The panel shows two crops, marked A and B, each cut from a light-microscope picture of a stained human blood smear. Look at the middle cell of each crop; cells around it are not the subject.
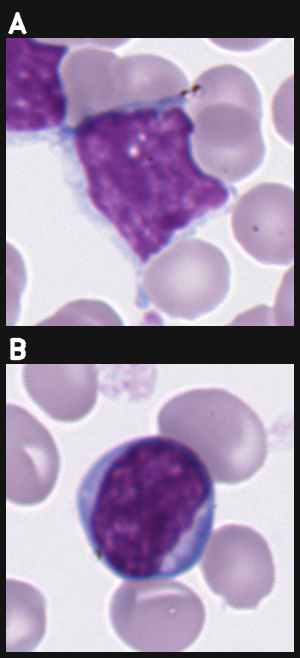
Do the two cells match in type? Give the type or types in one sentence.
Yes, the cells placed at the centre of both crops are typical lymphocytes.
